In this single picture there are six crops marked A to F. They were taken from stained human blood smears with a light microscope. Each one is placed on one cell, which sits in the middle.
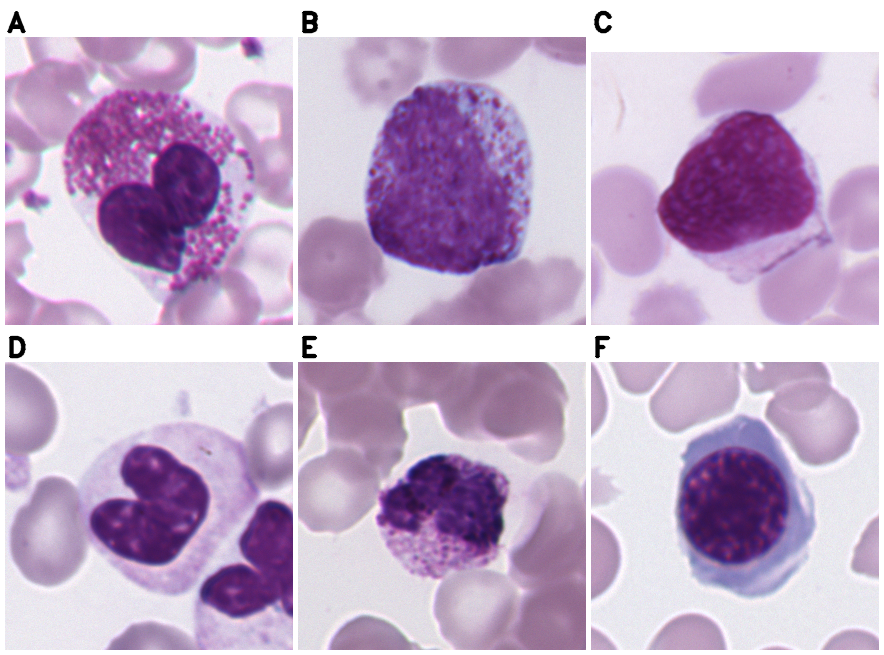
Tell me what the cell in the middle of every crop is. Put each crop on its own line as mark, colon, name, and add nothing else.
A: eosinophil
B: myelocyte
C: myeloblast
D: band neutrophil
E: basophil
F: normoblast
